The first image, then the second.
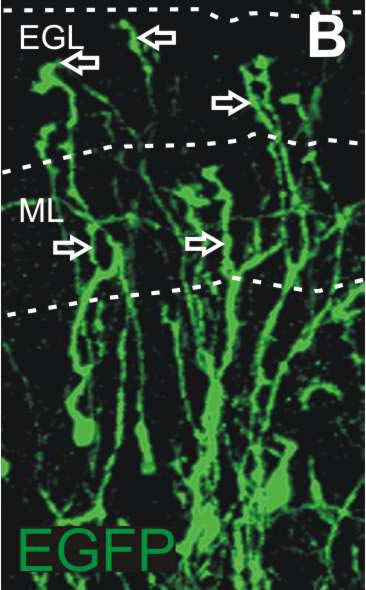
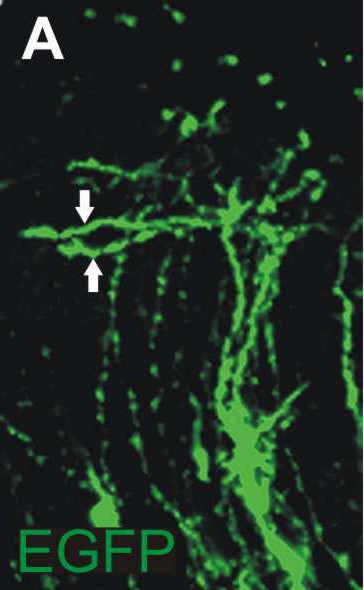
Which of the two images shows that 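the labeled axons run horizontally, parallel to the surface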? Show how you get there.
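Second image: labeled fibers run horizontally across the upper part of the panel.
Conclusion: the second image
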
